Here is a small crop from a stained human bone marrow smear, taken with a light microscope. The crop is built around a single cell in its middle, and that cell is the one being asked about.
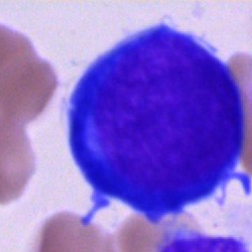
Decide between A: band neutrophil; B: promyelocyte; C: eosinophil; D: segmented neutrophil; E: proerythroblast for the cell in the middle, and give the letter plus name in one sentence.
The cell in the center of this crop is a proerythroblast, so option E is the one to pick.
